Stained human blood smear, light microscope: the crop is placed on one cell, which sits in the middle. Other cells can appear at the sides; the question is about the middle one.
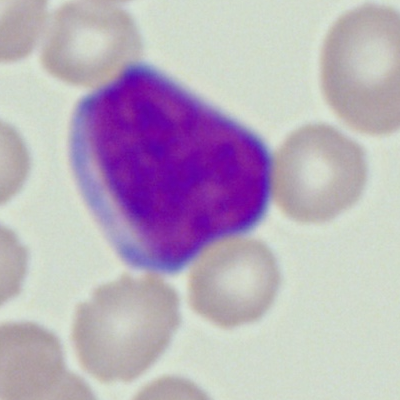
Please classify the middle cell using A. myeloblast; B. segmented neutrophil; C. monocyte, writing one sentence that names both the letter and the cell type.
Occupying the middle of the crop is a myeloblast, hence option A is correct.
